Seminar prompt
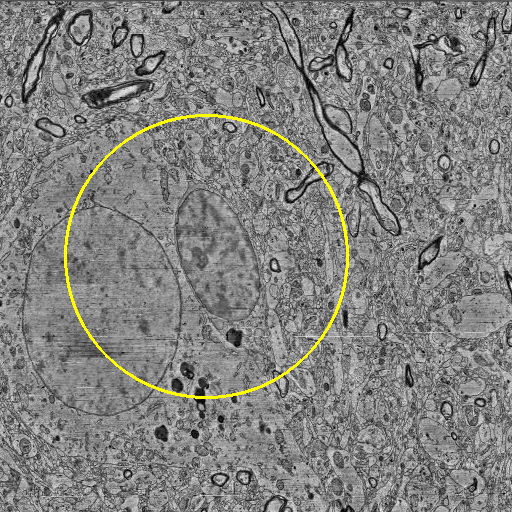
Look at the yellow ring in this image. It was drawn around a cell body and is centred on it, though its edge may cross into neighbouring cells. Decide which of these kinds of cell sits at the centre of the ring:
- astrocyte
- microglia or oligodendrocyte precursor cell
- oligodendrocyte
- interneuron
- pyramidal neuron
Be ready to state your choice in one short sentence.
The kind of cell at the ring's centre is an oligodendrocyte.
